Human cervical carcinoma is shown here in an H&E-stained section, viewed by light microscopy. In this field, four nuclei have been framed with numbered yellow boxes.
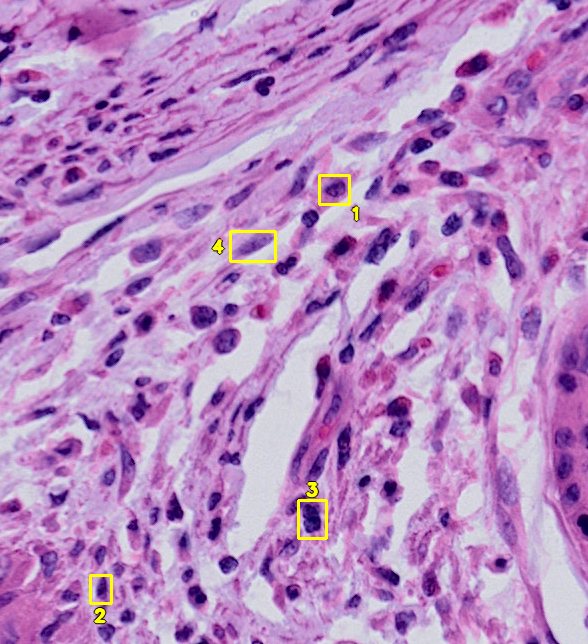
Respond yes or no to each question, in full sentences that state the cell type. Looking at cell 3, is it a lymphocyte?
Yes, the cell labelled with number 3 is a lymphocyte.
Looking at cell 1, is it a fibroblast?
No, the cell given number 1 is a macrophage or monocyte, not a fibroblast.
